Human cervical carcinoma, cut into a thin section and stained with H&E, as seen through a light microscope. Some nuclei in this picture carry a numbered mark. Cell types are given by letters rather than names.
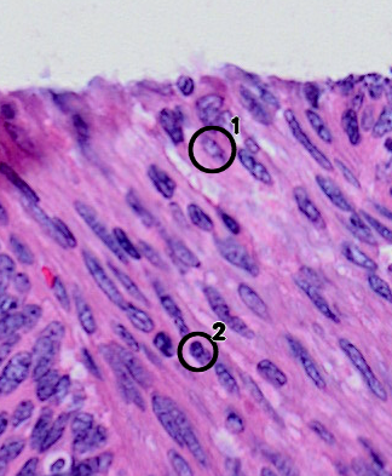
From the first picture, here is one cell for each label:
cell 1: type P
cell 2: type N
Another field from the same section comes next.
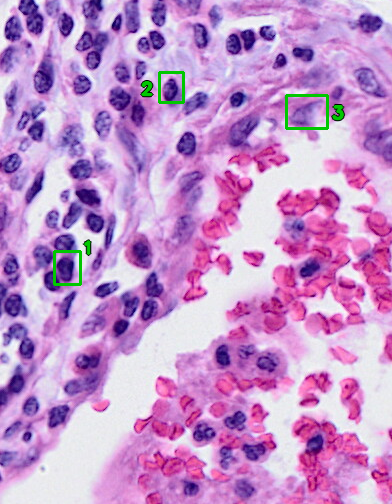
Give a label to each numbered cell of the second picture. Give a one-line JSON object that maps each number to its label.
{"1": "type N", "2": "type N", "3": "type P"}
